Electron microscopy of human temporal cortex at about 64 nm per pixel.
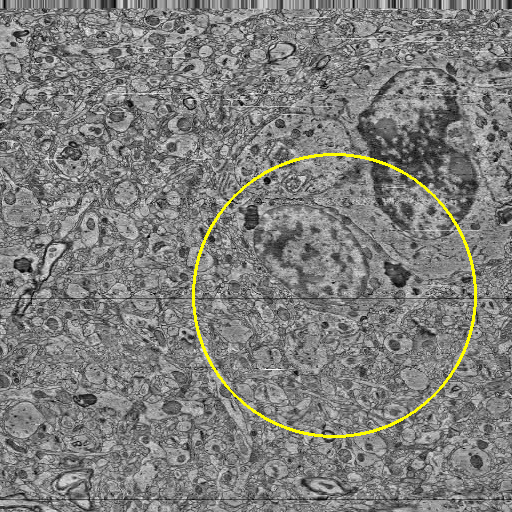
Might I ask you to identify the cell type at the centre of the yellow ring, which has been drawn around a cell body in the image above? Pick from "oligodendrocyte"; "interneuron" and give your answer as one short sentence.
The centre of the ring falls on an oligodendrocyte.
